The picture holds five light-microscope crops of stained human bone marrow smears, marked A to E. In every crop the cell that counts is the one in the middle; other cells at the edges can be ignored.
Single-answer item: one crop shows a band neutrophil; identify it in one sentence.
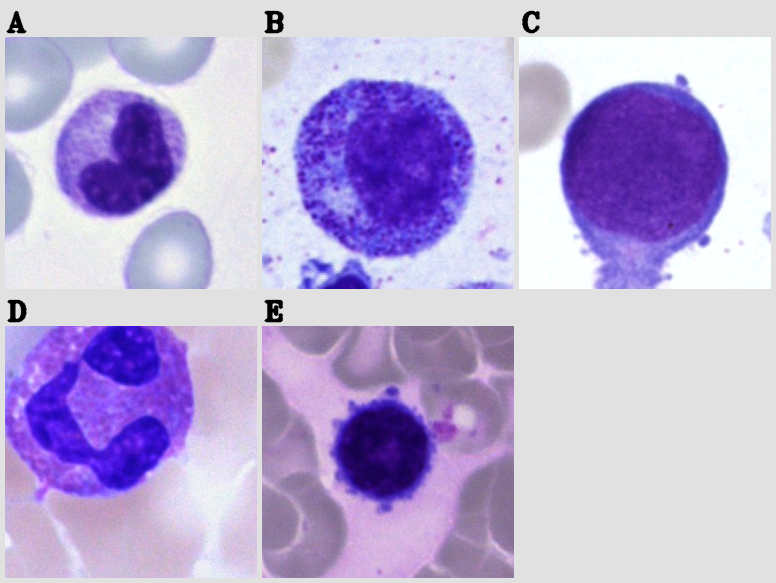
The crop that shows a band neutrophil is crop A.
